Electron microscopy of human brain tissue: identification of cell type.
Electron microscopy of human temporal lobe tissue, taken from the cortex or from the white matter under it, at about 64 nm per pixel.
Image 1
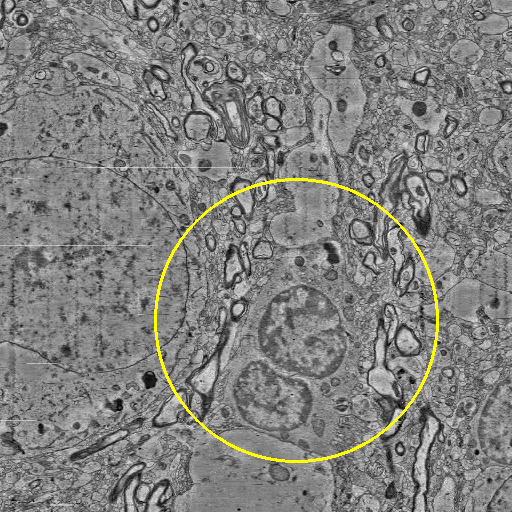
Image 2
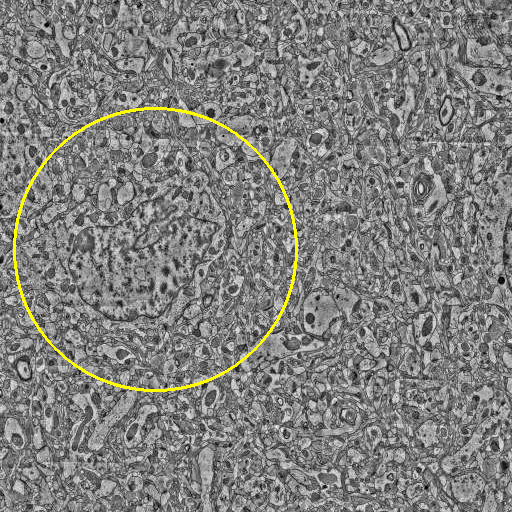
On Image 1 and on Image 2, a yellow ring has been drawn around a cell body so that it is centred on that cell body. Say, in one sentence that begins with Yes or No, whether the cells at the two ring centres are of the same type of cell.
No, the two cells are two separate types of cell.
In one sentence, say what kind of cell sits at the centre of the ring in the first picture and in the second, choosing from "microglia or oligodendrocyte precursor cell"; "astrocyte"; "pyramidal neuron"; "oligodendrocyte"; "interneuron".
The first picture's ringed cell is an oligodendrocyte, while the second picture's is an interneuron.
